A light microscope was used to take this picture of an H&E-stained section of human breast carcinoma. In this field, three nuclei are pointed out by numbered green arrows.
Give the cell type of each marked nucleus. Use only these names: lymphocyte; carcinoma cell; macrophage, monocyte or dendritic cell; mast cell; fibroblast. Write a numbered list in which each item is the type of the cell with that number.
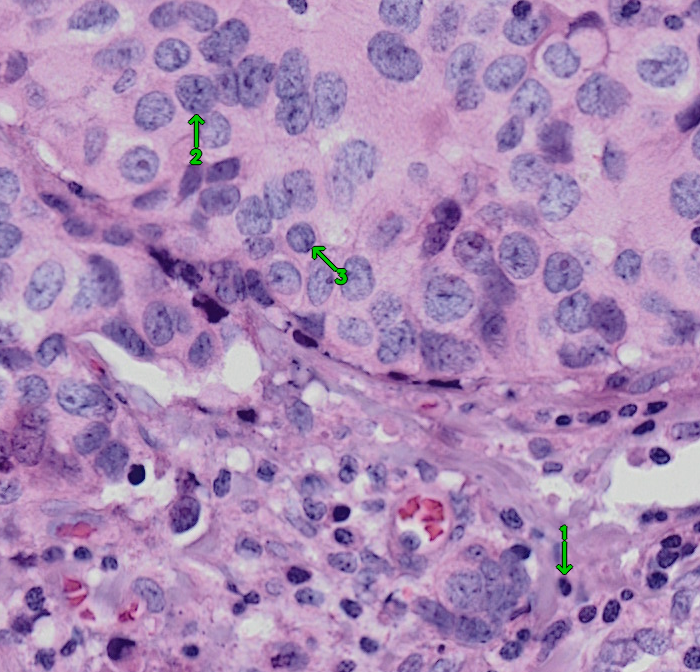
1. lymphocyte
2. carcinoma cell
3. carcinoma cell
